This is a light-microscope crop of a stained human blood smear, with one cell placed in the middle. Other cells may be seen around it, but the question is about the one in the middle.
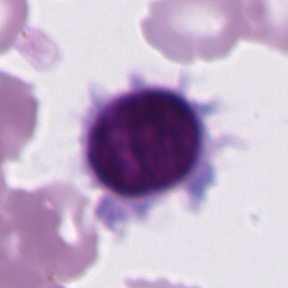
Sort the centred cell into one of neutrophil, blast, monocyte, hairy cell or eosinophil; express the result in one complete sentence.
At the crop's centre, the cell is a hairy cell.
